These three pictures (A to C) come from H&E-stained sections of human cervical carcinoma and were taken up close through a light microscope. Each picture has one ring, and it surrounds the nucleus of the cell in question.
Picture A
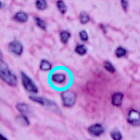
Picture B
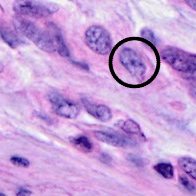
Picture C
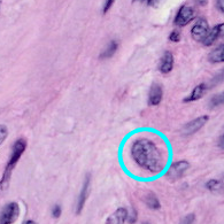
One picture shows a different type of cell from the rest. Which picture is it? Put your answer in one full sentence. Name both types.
Picture B differs, because its cell is an endothelial cell and the rest are smooth muscle cells.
